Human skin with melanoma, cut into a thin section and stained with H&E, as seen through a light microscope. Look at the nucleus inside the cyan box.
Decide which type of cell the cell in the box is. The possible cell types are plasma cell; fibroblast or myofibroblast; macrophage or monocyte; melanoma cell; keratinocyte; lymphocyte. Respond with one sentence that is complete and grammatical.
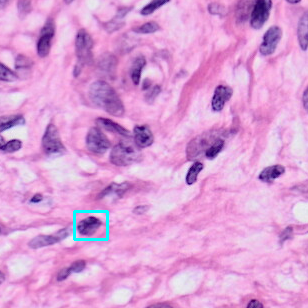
Recorded by type, the cell in the box is a lymphocyte.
